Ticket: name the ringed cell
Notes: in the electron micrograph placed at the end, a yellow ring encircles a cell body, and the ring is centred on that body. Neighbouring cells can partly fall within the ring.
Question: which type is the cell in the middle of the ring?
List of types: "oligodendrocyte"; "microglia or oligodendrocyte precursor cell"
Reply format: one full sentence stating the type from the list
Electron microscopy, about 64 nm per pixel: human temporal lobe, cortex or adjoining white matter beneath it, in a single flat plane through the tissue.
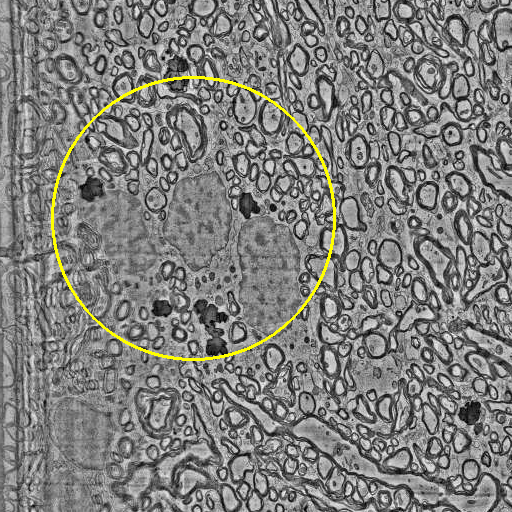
The cell sitting at the centre of the yellow ring is an oligodendrocyte.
